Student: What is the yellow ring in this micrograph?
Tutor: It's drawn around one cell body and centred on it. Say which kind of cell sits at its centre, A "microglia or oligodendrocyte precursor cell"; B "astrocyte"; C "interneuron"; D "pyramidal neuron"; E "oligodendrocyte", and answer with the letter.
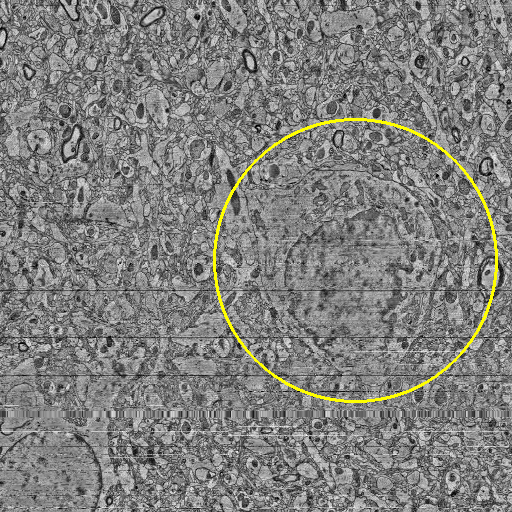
C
